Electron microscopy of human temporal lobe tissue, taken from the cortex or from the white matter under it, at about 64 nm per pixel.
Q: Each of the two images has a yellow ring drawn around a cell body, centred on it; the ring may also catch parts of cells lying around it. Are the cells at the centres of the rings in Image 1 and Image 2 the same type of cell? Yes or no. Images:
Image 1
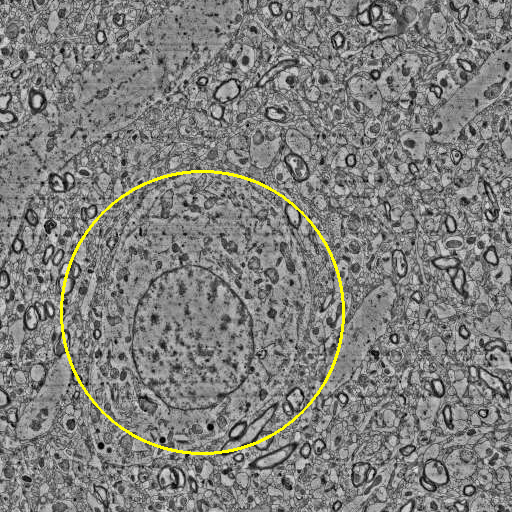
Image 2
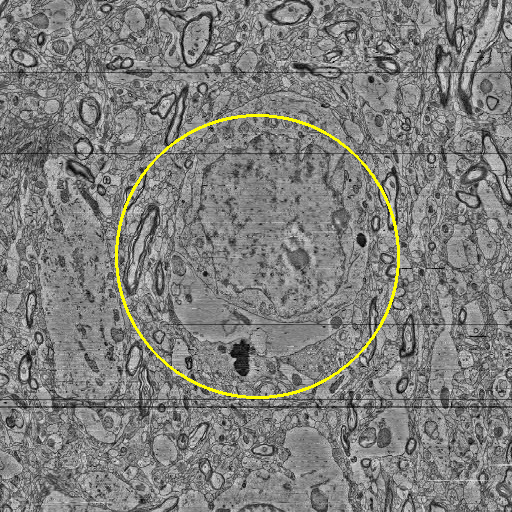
yes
